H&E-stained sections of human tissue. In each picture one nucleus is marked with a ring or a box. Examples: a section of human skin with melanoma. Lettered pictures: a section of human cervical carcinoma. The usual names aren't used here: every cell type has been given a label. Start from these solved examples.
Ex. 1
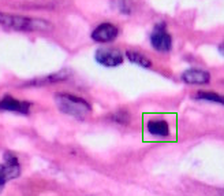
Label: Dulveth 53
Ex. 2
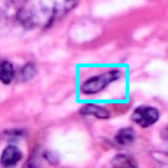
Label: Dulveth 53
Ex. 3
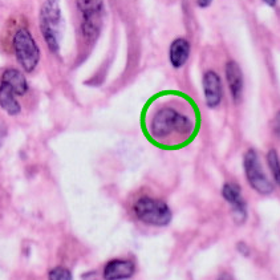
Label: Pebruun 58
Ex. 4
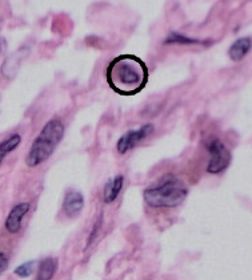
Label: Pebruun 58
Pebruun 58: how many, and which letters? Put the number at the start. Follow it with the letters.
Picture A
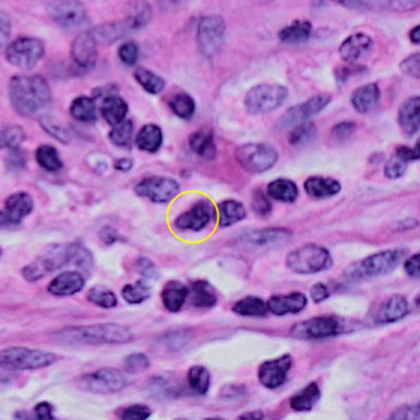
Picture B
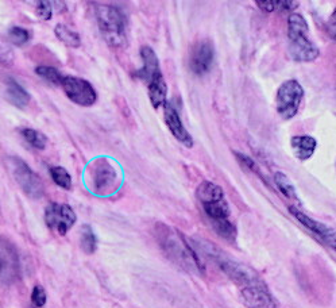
Count: 1 (B)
